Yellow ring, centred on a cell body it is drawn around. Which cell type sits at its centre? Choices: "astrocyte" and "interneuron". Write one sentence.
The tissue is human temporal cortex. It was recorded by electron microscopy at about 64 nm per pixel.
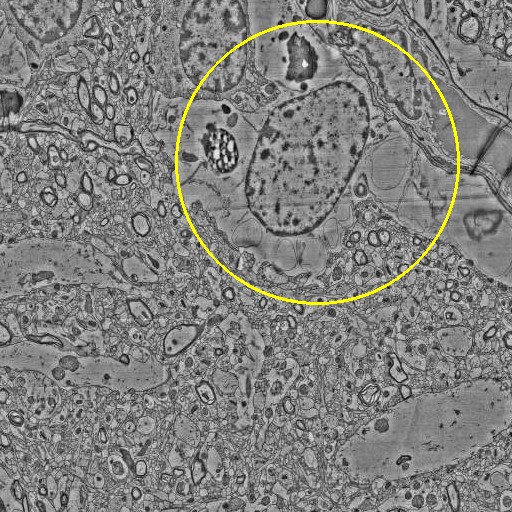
At the centre of the ring sits an astrocyte.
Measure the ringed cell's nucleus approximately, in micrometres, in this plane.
At approximately 11 by 6 micrometres, the nucleus is clearly longer than it is wide in this plane.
